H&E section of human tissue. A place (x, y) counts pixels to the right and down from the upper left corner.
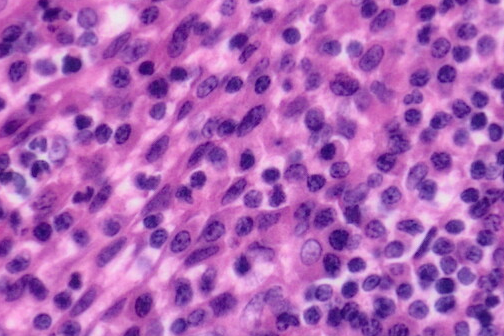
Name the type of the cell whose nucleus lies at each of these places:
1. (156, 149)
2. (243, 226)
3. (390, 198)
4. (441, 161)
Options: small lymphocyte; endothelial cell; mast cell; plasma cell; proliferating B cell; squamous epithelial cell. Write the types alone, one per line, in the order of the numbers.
squamous epithelial cell
plasma cell
plasma cell
plasma cell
